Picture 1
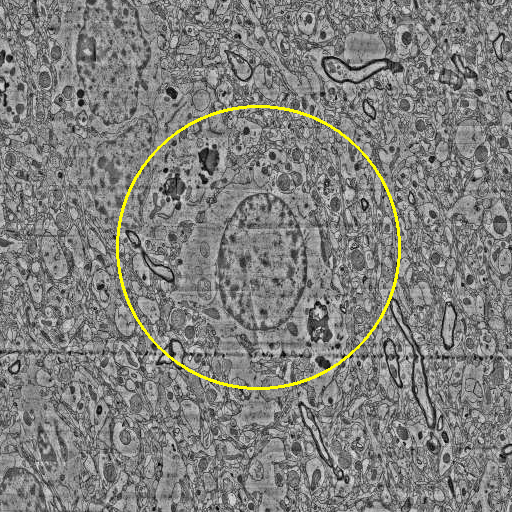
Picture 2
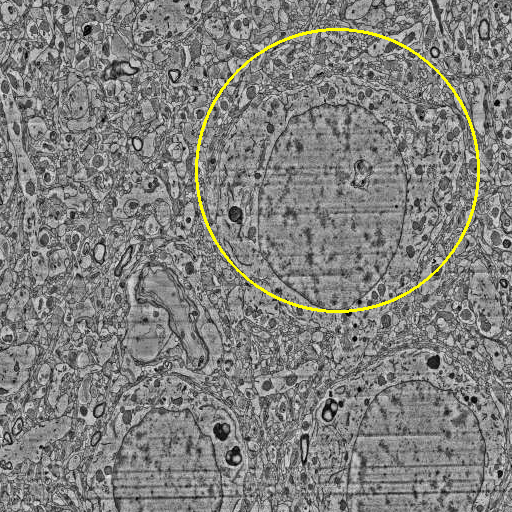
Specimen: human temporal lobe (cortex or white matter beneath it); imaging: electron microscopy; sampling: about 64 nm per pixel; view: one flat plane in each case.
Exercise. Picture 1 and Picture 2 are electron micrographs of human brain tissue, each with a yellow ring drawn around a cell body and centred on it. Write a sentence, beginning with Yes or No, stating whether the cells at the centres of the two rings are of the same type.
No, the cells at the centres of the rings are of two types.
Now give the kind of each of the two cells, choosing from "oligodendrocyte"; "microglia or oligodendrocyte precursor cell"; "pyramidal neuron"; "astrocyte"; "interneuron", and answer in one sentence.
The cell in the first picture is an astrocyte, and the cell in the second is a pyramidal neuron.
